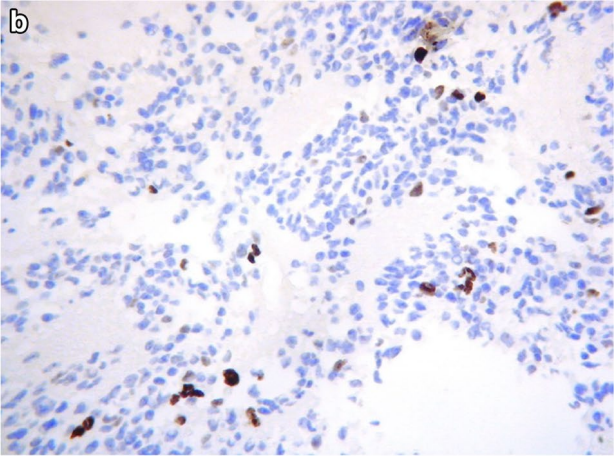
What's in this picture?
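A cellular tumour is made of sheets of small cells with oval, blue-counterstained nuclei separated by pale areas. Scattered nuclei throughout the field are stained dark brown, while most nuclei remain blue.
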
